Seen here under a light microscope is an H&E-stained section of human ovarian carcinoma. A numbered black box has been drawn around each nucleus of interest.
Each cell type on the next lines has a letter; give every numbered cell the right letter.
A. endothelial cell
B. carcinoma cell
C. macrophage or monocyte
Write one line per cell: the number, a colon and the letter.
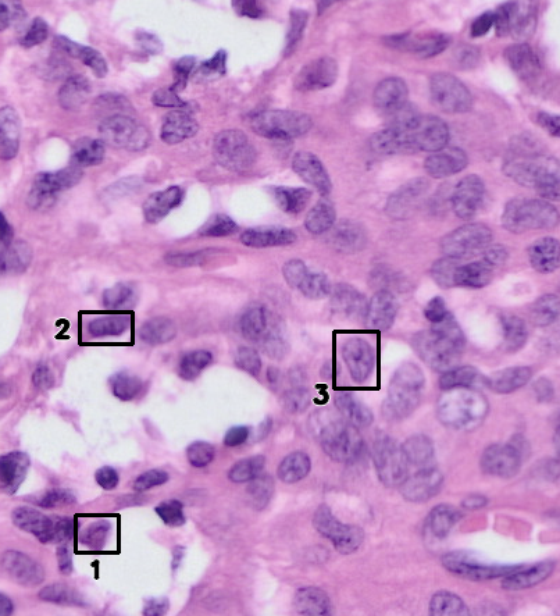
1: B
2: B
3: C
